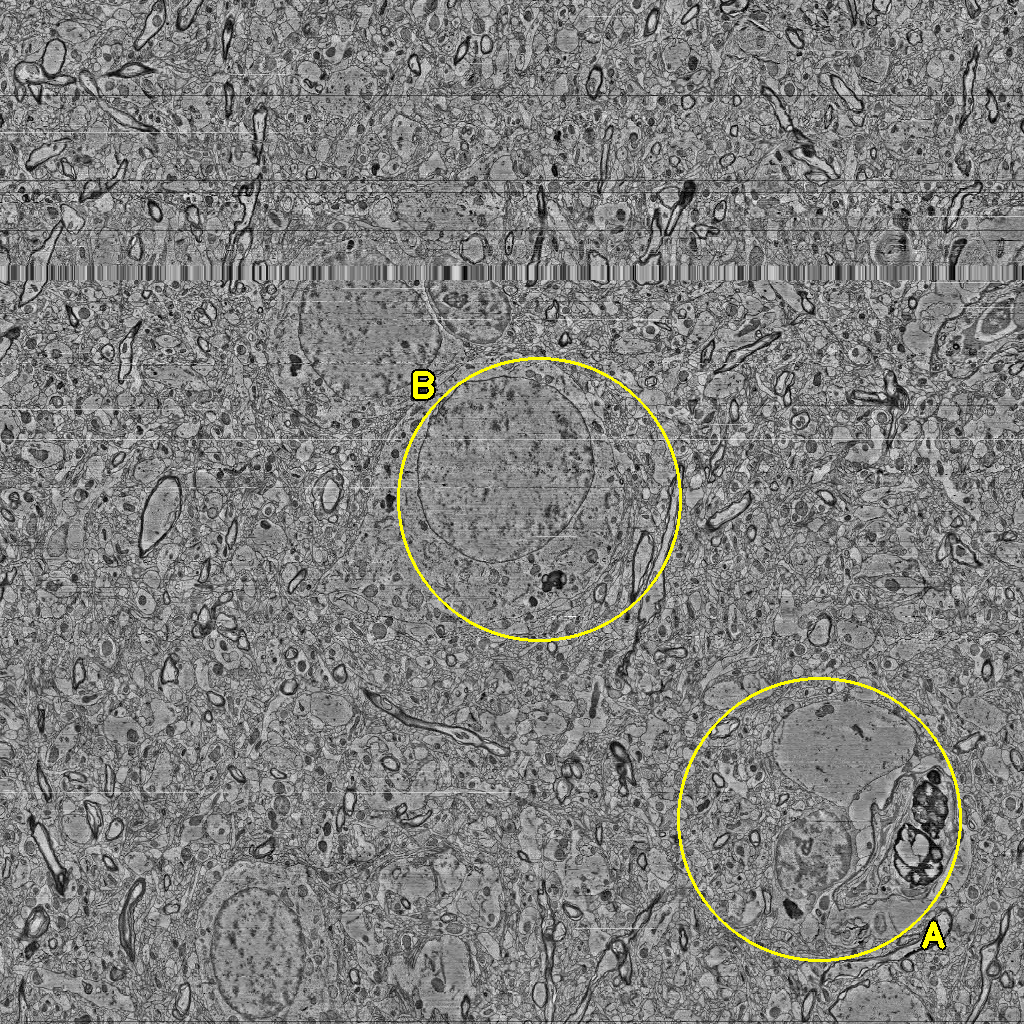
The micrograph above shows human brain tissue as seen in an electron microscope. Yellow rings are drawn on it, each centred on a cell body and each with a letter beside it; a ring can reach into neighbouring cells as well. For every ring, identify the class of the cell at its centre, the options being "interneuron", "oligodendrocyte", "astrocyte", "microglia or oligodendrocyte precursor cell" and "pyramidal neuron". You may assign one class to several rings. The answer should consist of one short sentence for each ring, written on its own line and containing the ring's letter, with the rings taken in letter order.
The ring lettered A is centred on an oligodendrocyte.
The ring lettered B is centred on a pyramidal neuron.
